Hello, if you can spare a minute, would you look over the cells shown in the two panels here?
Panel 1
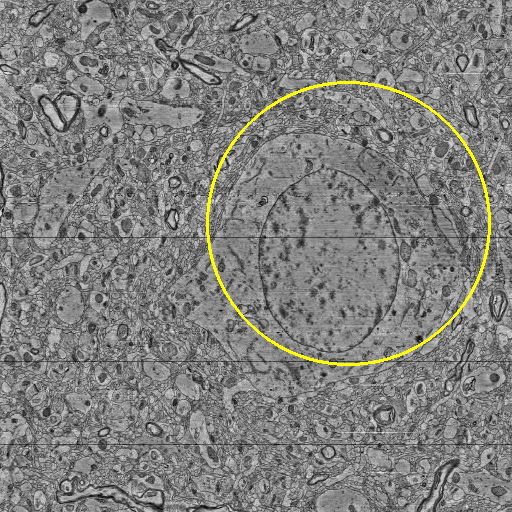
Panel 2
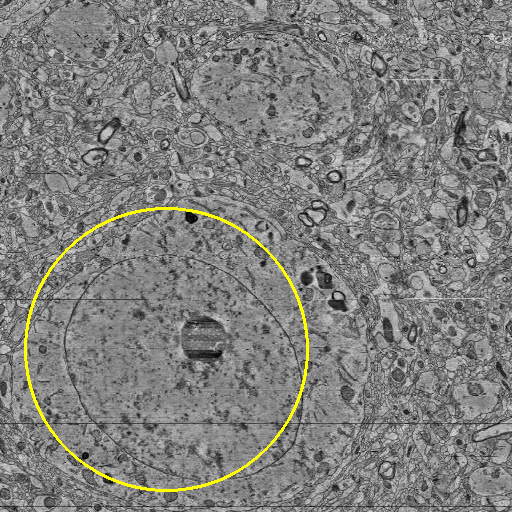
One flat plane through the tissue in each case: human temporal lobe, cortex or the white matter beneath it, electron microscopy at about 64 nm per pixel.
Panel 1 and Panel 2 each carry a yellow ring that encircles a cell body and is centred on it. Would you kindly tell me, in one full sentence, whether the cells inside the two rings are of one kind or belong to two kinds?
The cells at the centres of the rings in Panel 1 and Panel 2 are of one kind.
